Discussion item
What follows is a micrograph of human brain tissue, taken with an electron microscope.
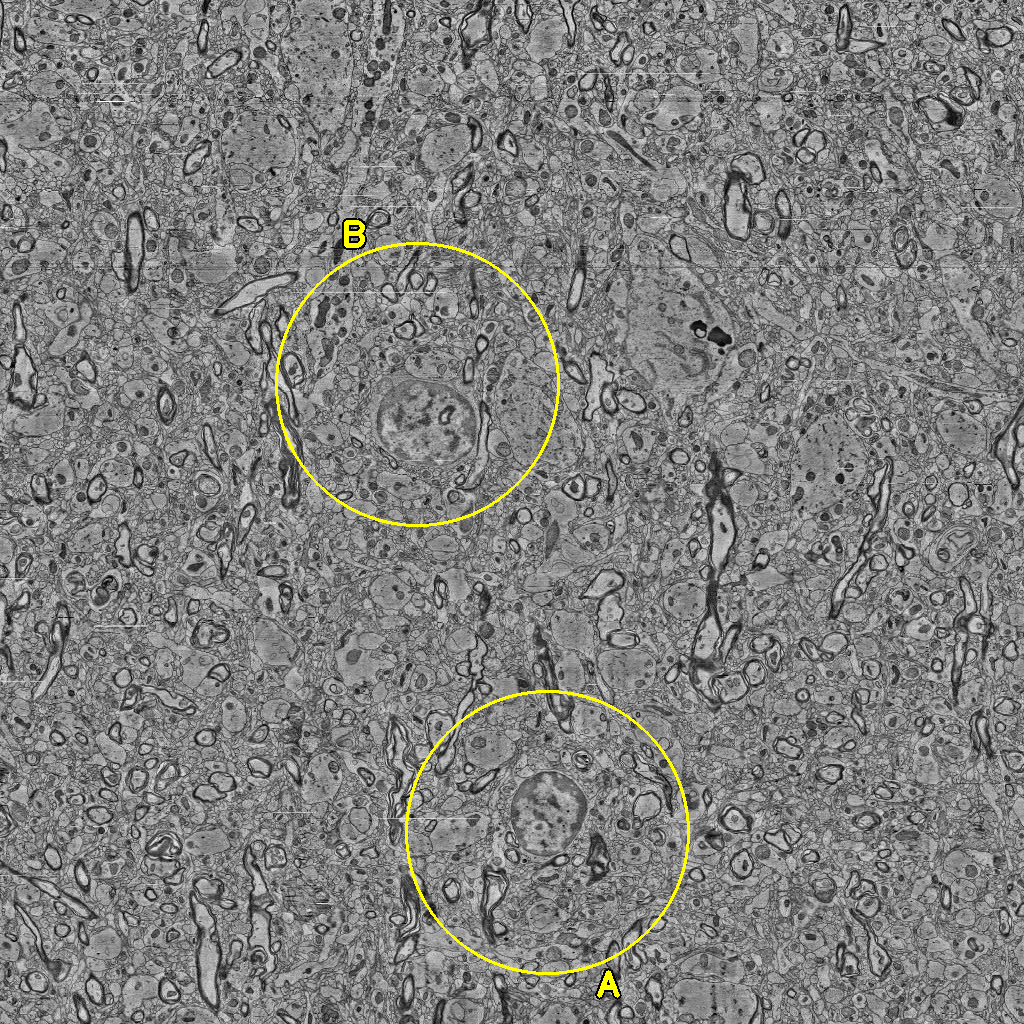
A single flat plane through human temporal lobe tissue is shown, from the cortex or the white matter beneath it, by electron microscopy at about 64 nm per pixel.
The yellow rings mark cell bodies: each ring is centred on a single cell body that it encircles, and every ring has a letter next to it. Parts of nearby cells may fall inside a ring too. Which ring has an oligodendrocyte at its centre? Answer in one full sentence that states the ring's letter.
Ring B is the ring whose centre falls on the cell the question asks about.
